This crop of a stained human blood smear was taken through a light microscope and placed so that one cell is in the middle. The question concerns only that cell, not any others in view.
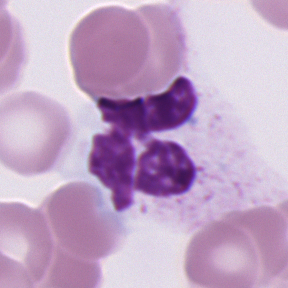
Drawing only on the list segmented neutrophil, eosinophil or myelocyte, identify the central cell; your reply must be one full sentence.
On this slide crop, the central cell is a segmented neutrophil.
